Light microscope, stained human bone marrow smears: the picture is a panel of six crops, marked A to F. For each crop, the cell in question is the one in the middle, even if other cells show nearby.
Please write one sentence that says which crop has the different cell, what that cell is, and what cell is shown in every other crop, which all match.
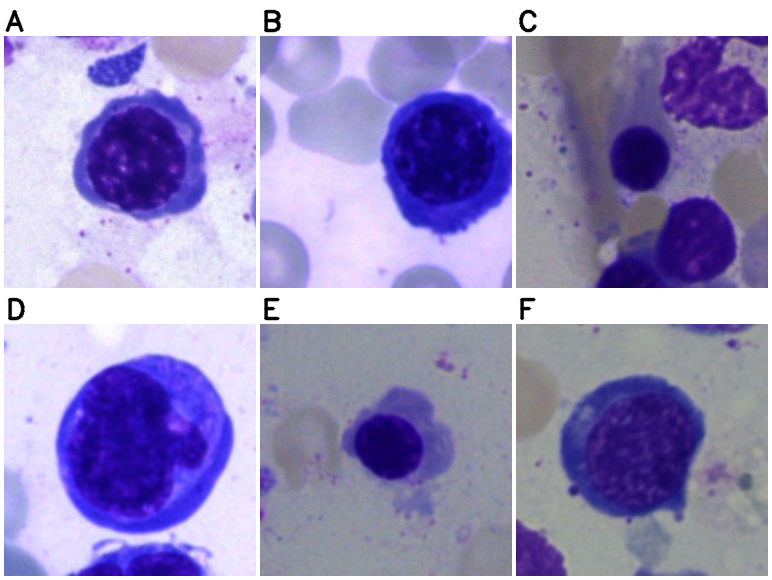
The exception in this group is crop D, a blast, and the others are all erythroblasts.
